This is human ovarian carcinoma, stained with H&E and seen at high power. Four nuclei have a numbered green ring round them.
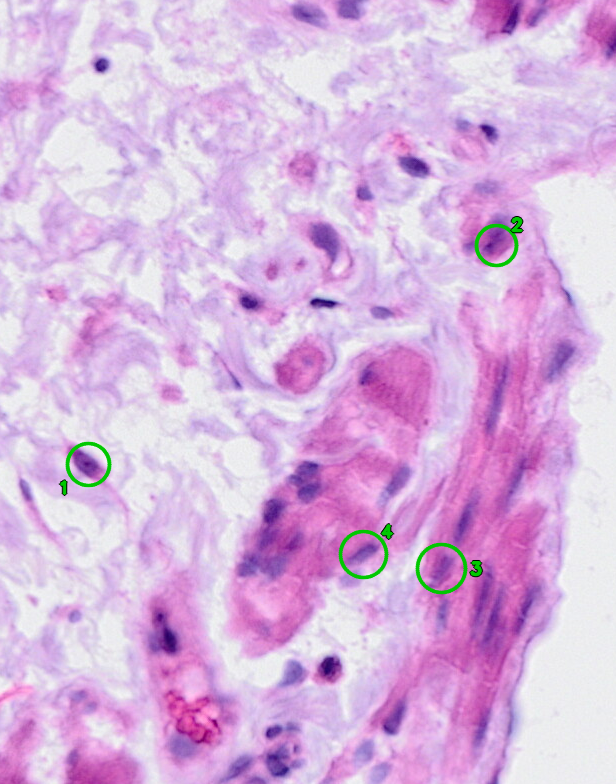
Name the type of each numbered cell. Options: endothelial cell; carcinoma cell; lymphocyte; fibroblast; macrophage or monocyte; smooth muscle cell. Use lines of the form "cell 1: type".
cell 1: fibroblast
cell 2: smooth muscle cell
cell 3: smooth muscle cell
cell 4: smooth muscle cell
